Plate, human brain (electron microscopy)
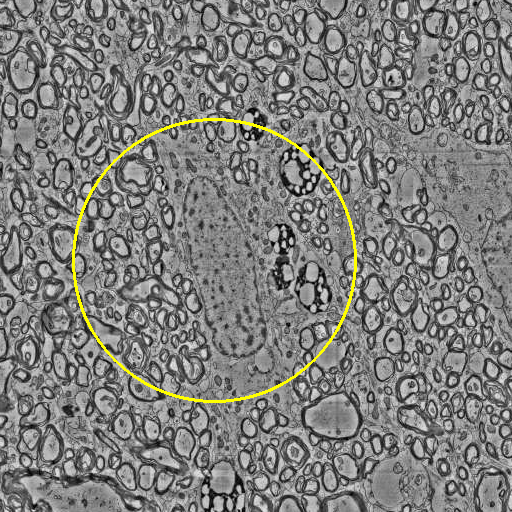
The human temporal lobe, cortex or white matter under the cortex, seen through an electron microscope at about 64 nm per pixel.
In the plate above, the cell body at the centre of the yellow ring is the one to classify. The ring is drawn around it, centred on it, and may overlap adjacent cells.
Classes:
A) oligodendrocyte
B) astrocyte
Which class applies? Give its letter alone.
B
